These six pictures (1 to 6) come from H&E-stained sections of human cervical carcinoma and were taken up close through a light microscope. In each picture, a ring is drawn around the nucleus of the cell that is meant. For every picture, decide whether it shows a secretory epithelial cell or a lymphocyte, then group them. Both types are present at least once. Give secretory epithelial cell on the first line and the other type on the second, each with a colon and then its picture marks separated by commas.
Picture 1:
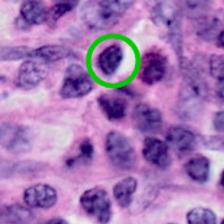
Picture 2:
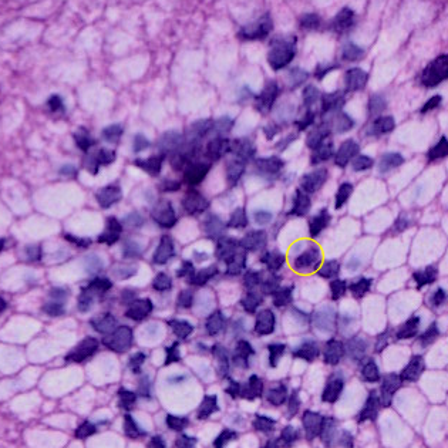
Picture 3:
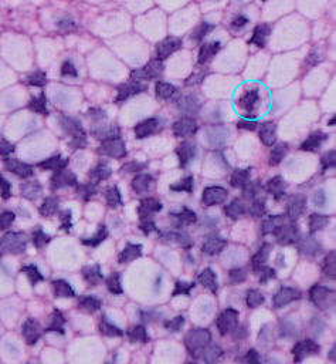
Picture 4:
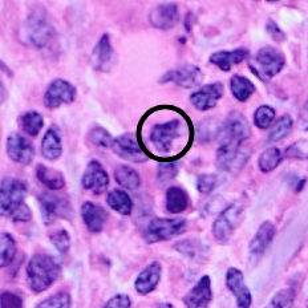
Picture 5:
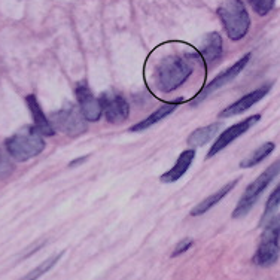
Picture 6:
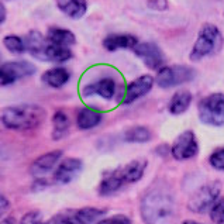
secretory epithelial cell: 2, 3, 5
lymphocyte: 1, 4, 6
